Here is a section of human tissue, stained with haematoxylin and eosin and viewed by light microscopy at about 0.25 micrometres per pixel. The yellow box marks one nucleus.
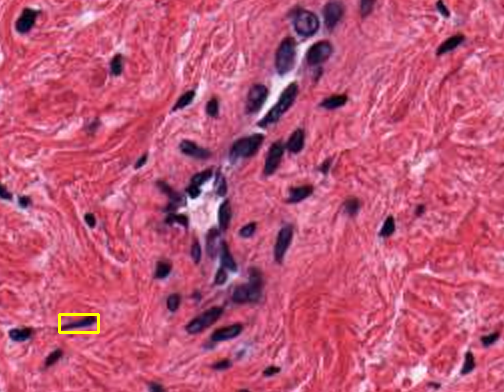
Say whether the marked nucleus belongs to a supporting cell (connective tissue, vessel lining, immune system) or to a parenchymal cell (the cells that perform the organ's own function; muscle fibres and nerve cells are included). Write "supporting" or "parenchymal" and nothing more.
supporting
